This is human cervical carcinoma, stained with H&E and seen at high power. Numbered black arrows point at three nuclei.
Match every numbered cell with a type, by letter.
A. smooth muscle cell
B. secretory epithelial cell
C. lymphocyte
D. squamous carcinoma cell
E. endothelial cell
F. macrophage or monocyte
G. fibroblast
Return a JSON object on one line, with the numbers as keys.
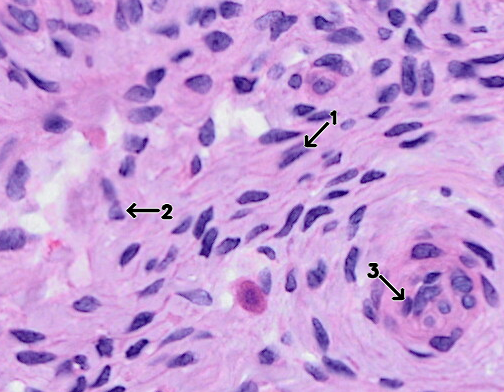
{"1": "G", "2": "G", "3": "E"}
